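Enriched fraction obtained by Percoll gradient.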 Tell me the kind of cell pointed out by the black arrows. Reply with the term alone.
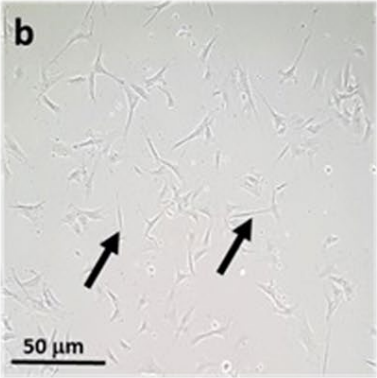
Fibroblast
